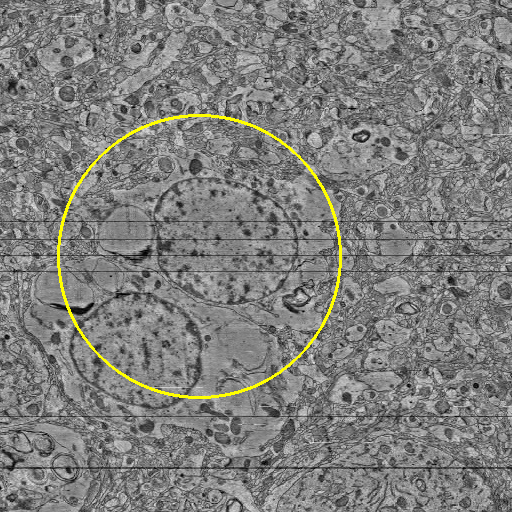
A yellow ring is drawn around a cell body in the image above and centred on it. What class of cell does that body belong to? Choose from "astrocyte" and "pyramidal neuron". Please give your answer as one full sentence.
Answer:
The yellow ring above is centred on the cell body of an astrocyte.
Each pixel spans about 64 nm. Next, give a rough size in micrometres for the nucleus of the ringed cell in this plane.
In this plane the nucleus is about 10 micrometres by 8.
